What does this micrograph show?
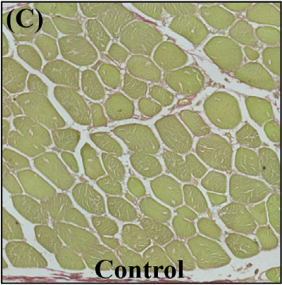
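This is a cross-section of skeletal muscle in which the myofibers are cut transversely and appear as closely packed, polygonal olive-green profiles. Thin pinkish-red strands of connective tissue run between individual fibers, while wider pale bands separate groups of fibers into bundles. Fiber profiles vary in size, with smaller and larger ones intermingled across the field.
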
